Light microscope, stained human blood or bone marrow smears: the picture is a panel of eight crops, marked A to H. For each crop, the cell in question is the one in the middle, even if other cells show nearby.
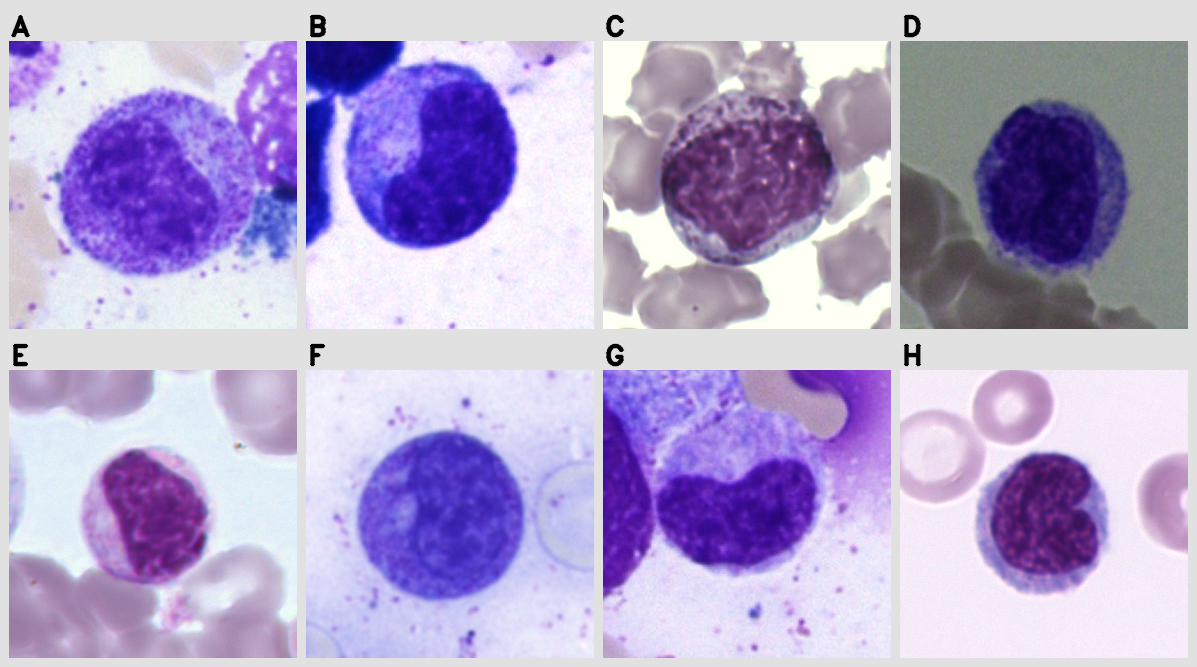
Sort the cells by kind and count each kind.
metamyelocyte: 4
myelocyte: 2
monocyte: 2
